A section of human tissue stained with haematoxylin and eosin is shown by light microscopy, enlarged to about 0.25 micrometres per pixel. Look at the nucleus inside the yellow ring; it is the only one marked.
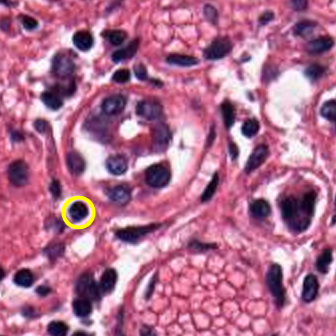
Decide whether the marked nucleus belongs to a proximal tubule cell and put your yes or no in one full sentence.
No, the cell to which the marked nucleus belongs is a supporting cell rather than a proximal tubule cell.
